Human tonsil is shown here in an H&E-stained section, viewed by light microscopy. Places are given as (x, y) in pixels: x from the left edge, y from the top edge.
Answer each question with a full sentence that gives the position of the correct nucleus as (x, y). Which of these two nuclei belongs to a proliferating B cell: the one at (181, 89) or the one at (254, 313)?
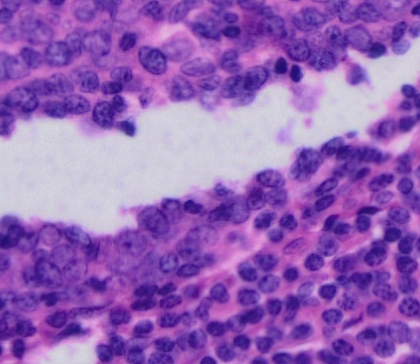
The nucleus of a proliferating B cell is the one found at (181, 89), not the other.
